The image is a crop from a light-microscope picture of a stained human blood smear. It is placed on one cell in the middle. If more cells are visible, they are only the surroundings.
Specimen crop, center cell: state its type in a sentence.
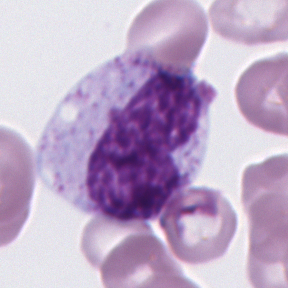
The central cell in this smear crop is a metamyelocyte.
